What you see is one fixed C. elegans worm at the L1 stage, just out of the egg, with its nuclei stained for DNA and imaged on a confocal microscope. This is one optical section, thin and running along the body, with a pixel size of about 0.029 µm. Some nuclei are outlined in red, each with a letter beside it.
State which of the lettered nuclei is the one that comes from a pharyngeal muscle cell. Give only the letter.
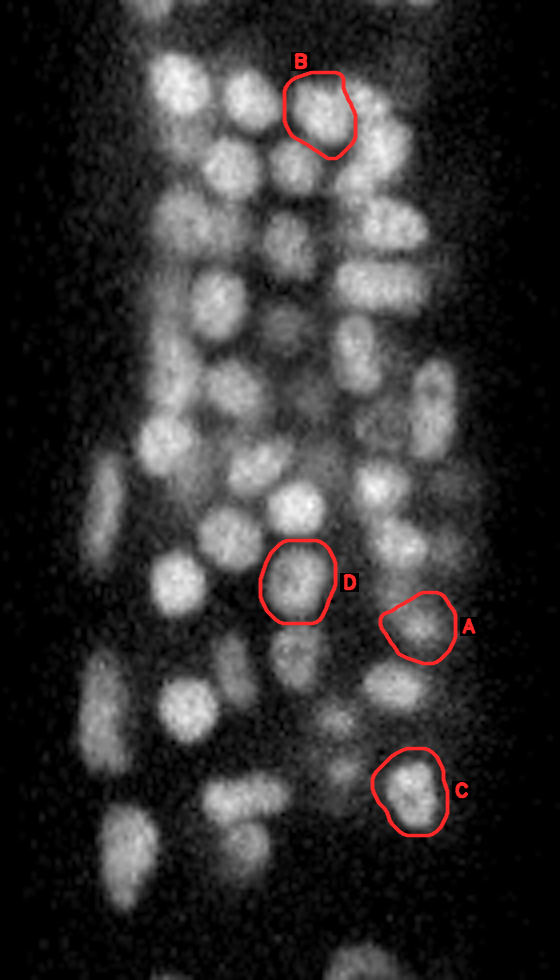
D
